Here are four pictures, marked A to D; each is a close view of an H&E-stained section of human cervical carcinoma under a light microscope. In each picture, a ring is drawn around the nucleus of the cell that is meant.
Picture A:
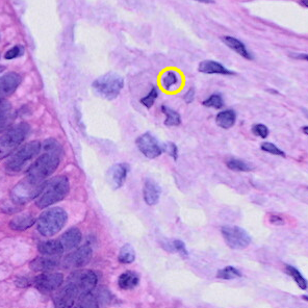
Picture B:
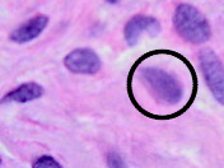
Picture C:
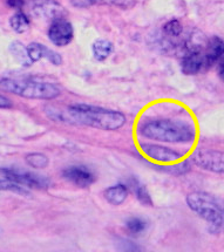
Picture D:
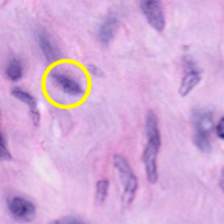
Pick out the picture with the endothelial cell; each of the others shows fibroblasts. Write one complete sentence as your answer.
The picture with the endothelial cell is C.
